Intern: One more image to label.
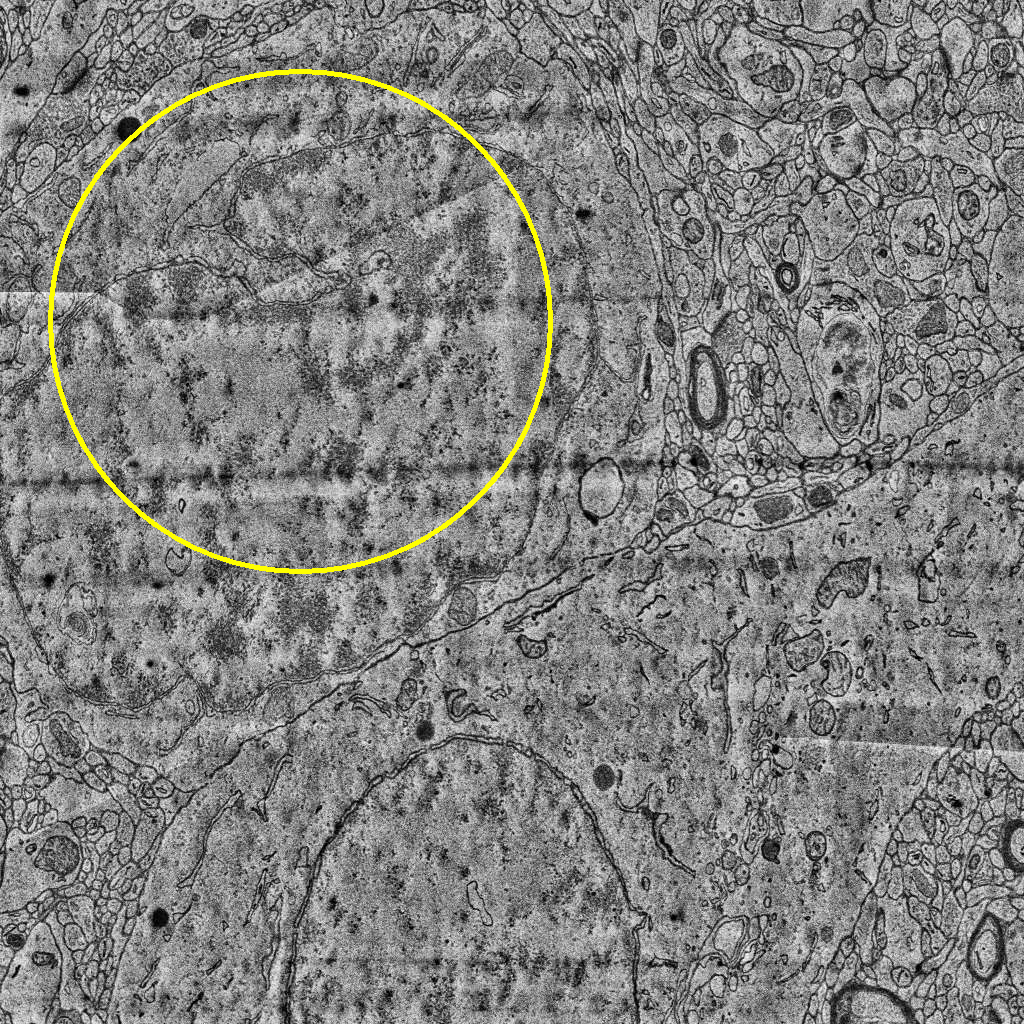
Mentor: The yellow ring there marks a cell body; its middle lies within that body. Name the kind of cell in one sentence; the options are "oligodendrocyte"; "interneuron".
The ring marks the cell body of an interneuron.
